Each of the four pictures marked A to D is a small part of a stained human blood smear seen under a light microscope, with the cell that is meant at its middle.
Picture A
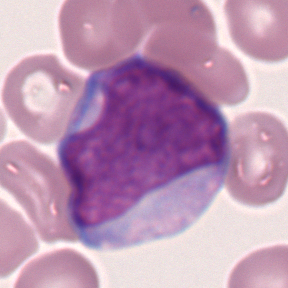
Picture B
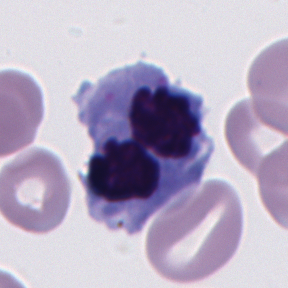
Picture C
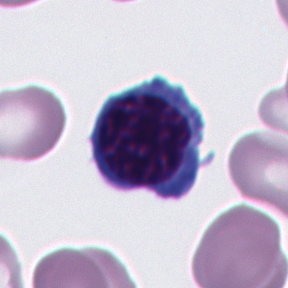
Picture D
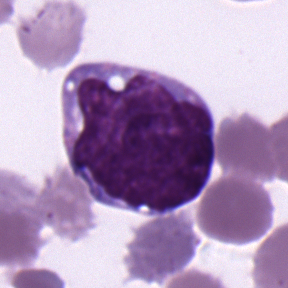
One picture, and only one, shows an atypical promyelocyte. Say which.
A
